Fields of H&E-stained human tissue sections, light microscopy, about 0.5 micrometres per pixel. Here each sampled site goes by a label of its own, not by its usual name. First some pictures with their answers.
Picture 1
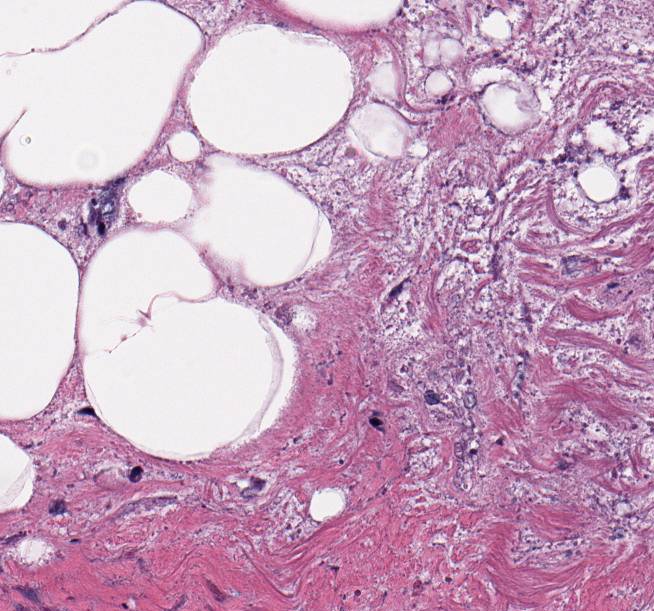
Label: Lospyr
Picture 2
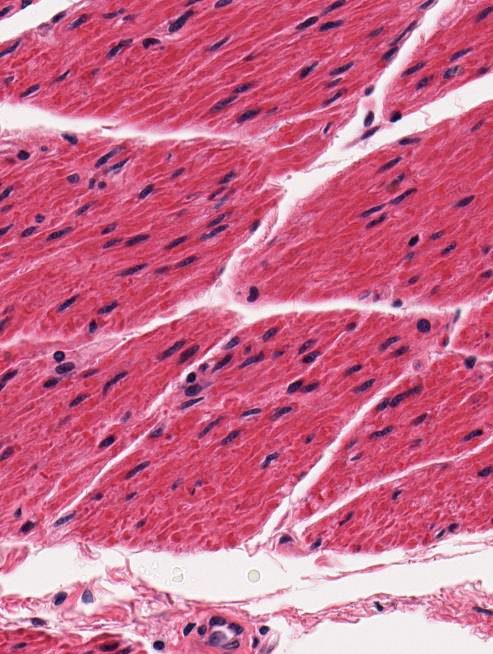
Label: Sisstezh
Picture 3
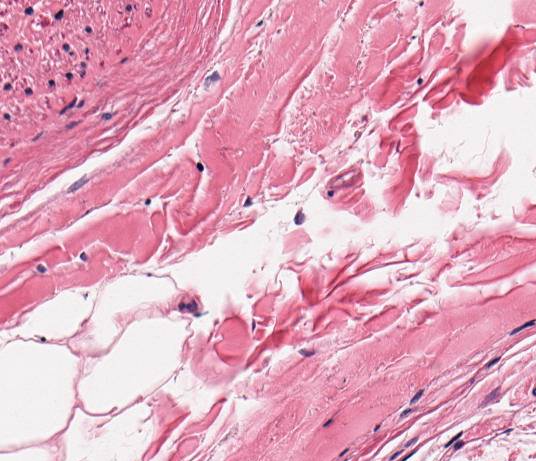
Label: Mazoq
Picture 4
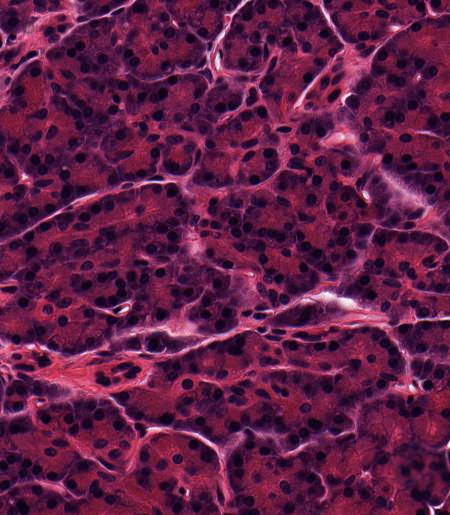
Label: Lospyr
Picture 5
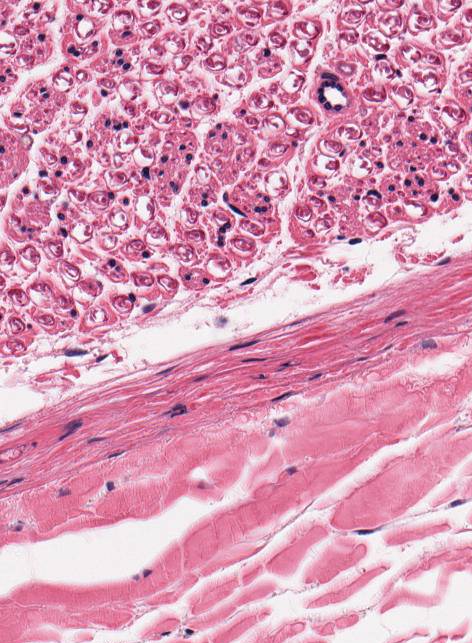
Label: Mazoq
